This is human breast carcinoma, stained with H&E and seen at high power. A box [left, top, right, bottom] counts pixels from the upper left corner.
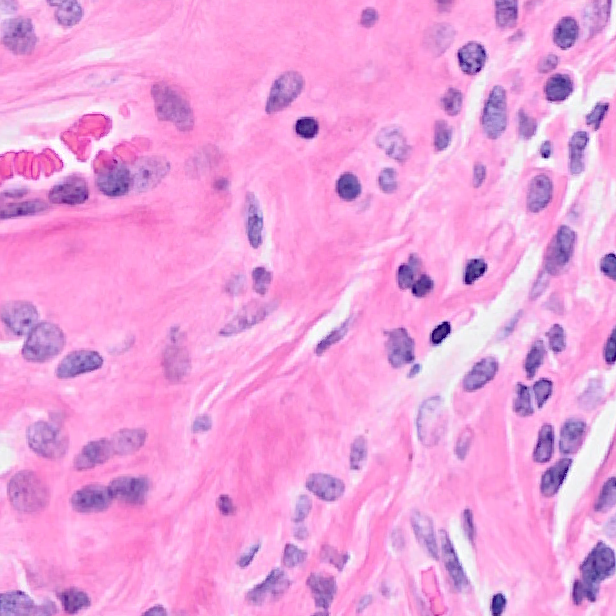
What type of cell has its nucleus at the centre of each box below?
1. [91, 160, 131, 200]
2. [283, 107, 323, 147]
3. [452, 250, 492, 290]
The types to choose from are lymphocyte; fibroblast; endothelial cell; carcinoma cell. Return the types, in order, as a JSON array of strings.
["endothelial cell", "lymphocyte", "lymphocyte"]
